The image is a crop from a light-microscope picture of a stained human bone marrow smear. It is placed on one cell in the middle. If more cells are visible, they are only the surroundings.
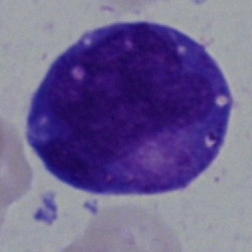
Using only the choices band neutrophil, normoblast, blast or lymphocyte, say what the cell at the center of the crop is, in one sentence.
The middle cell in this particular crop is a blast.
